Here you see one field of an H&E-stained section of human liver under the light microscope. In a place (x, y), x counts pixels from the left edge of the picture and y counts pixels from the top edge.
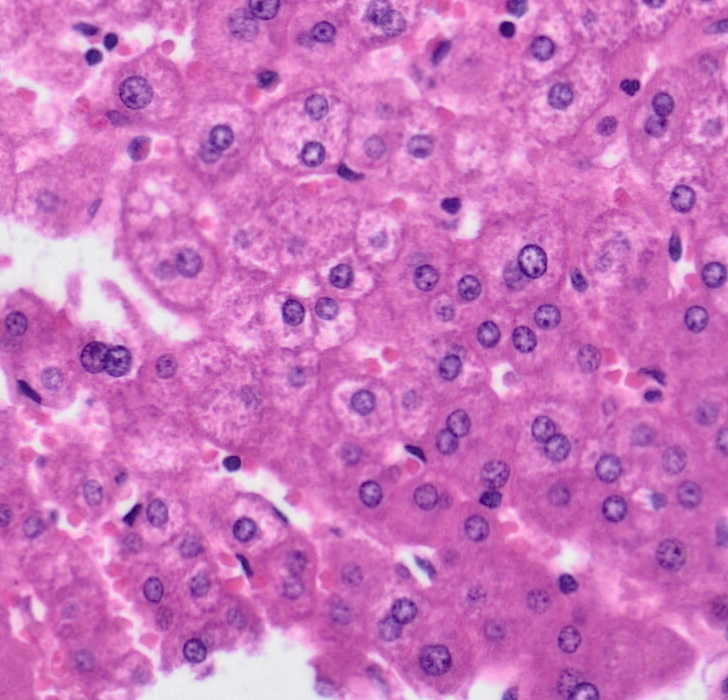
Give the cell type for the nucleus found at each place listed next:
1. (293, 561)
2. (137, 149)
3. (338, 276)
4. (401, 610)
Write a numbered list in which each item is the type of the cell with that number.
1. hepatocyte
2. endothelial cell
3. hepatocyte
4. hepatocyte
